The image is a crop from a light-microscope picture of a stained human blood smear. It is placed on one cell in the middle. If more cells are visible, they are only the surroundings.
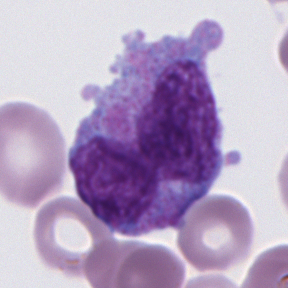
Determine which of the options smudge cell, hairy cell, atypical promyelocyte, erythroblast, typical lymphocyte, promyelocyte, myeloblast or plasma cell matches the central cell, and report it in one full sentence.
Standing at the centre of this crop is an atypical promyelocyte.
